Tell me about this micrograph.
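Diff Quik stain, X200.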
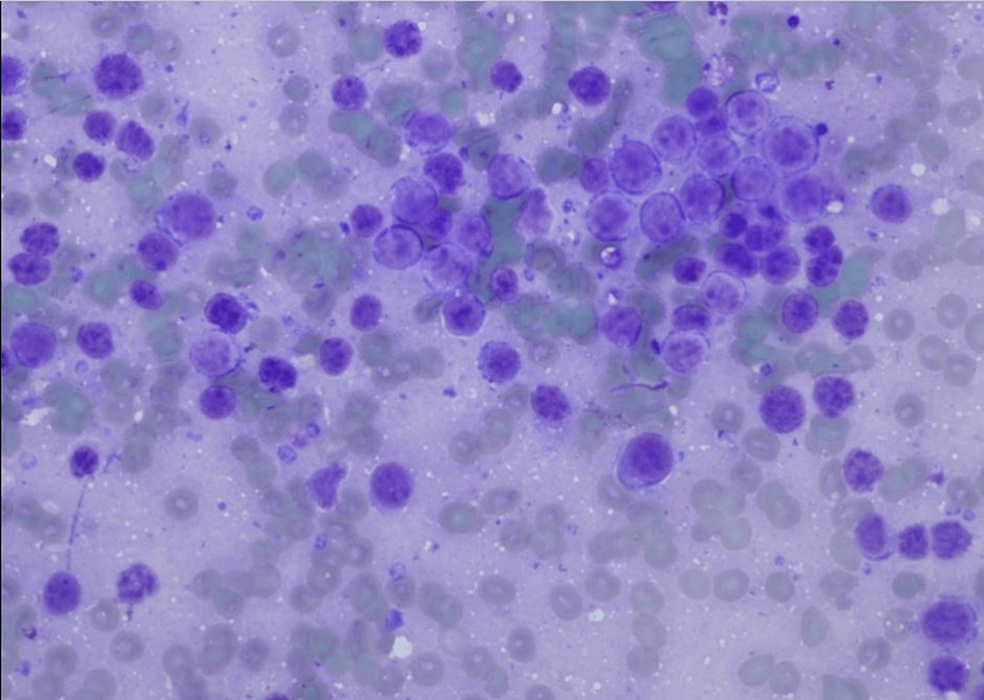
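The lymphoid cells lie singly or in loose groups and do not form cohesive sheets. They have round nuclei somewhat larger than the neighbouring red blood cells. The nuclei stain deep purple-blue and have finely granular chromatin. Each nucleus fills most of its cell, leaving only a thin rim of pale cytoplasm. The red blood cells show as pale grey-green discs in a lilac background.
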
